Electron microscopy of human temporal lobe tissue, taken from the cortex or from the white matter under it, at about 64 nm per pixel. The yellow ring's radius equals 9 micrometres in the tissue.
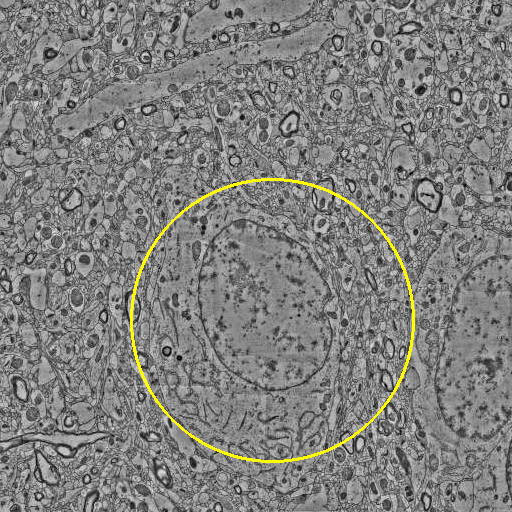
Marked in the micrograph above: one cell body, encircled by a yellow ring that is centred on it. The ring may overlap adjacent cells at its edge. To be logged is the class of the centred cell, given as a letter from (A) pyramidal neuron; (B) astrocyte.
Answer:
A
